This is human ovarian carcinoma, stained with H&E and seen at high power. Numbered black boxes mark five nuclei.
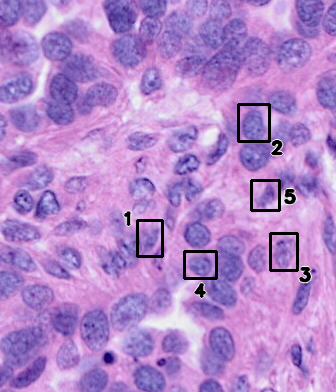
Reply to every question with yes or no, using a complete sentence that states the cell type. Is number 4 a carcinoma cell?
Yes, for number 4, the cell is a carcinoma cell.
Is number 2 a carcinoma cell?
Yes, the numbered cell 2 is identified as a carcinoma cell.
